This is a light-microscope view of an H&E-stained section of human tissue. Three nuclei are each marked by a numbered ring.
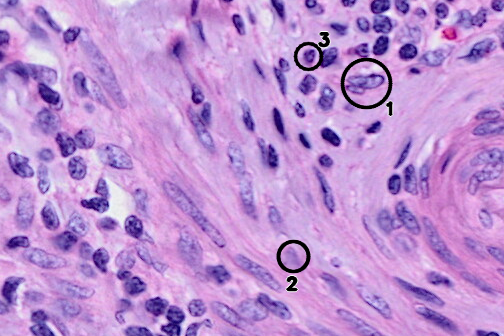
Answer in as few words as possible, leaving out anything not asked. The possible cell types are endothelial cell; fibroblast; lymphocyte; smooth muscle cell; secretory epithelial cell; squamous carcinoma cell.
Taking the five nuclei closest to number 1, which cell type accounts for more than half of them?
lymphocyte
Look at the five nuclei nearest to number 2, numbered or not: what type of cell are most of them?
smooth muscle cell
